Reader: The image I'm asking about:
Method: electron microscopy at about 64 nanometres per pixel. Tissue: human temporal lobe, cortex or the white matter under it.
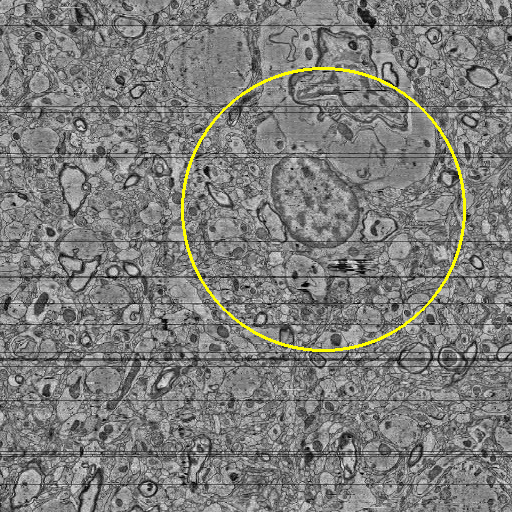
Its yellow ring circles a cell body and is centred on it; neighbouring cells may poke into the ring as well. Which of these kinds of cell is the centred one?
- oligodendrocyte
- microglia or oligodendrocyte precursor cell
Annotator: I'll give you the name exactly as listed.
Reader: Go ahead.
oligodendrocyte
